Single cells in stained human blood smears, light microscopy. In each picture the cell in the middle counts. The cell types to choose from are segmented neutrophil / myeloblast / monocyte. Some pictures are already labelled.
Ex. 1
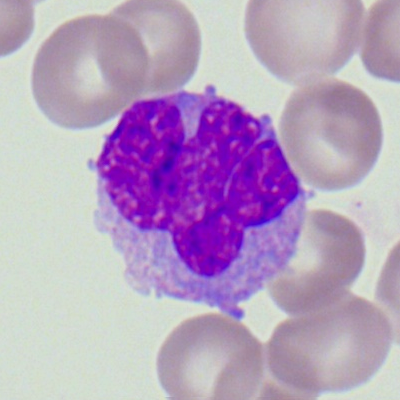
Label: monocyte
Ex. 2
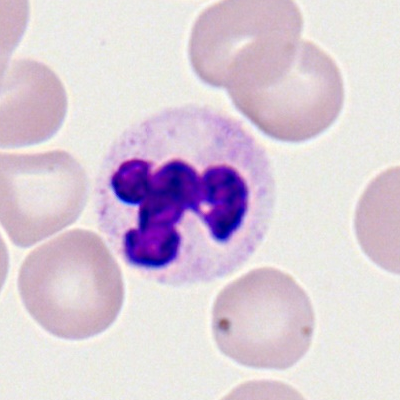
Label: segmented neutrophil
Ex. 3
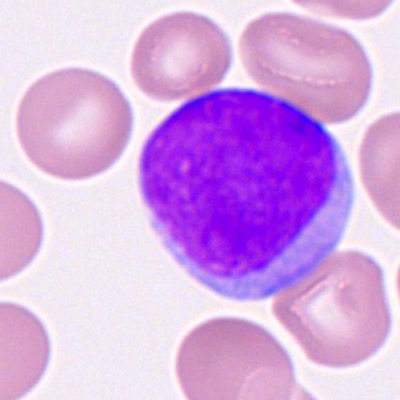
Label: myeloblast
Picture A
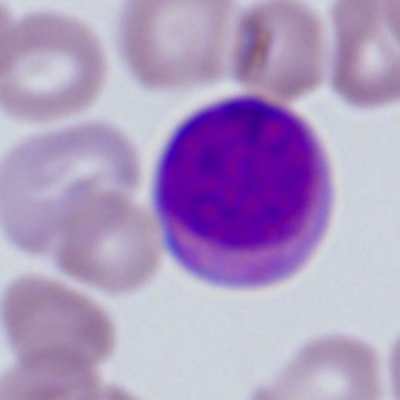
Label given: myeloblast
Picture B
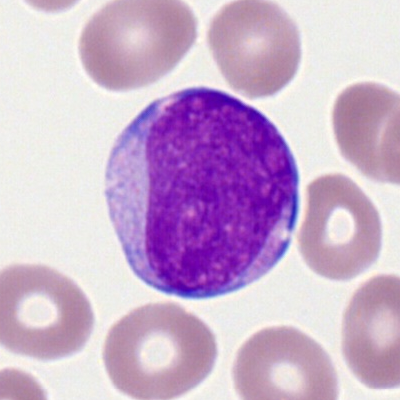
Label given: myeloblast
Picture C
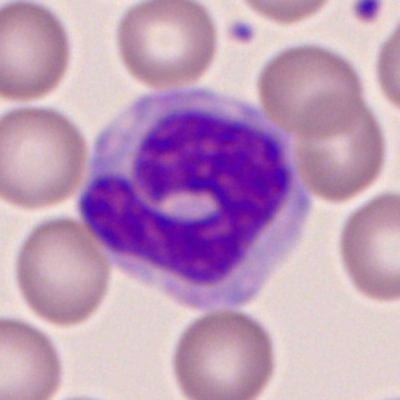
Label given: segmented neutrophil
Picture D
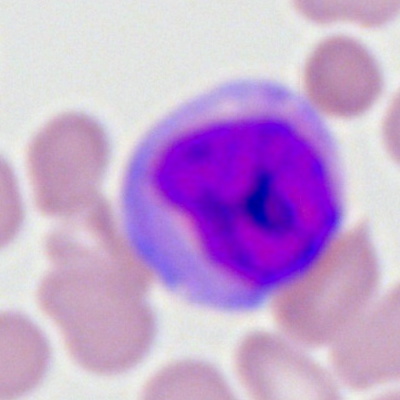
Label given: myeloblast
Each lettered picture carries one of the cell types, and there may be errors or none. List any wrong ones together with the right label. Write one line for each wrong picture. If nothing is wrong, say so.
C: monocyte, not segmented neutrophil
D: monocyte, not myeloblast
